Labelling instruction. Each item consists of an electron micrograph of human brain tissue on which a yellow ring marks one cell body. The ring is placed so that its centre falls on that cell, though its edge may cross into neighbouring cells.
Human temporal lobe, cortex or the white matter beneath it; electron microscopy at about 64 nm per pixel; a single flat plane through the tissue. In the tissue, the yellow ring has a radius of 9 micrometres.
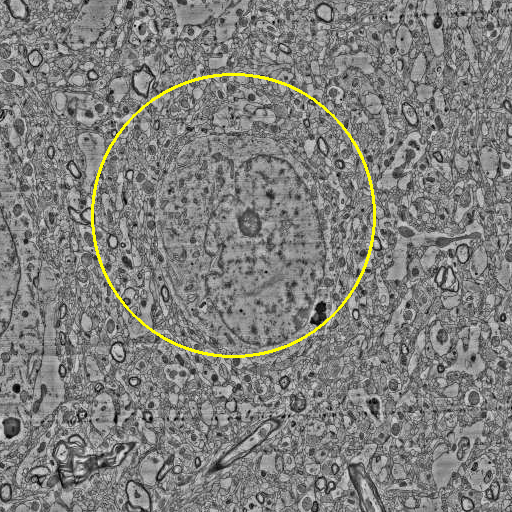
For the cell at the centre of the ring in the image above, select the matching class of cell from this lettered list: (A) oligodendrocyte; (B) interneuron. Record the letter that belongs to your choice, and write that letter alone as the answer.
B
